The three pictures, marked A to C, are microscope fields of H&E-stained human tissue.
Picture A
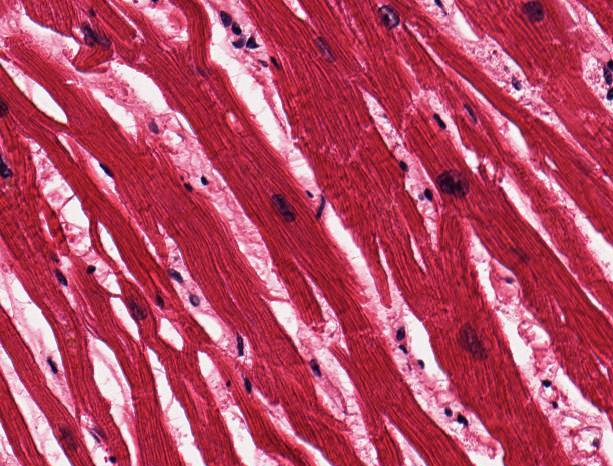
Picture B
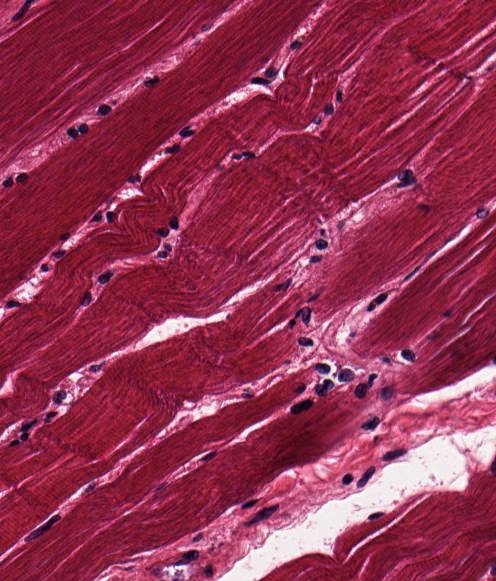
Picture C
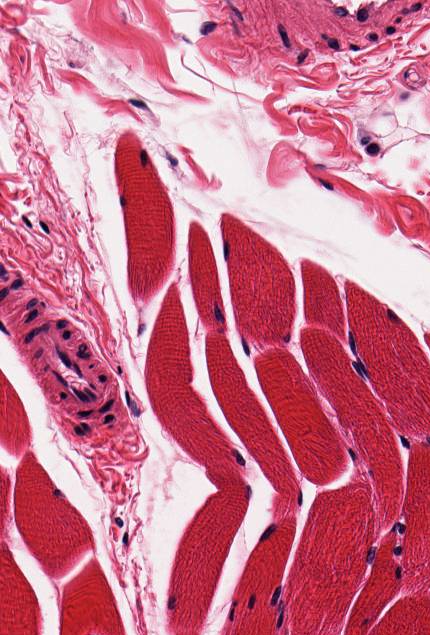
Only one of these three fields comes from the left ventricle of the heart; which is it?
A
